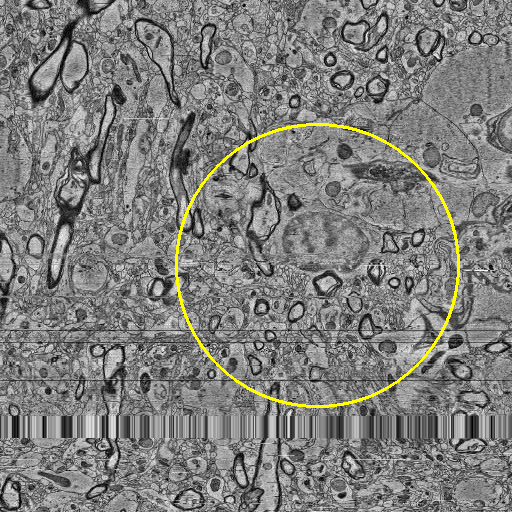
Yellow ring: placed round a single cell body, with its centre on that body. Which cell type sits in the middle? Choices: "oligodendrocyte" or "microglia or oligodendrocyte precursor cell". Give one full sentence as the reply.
It is an oligodendrocyte whose cell body sits at the centre of the yellow ring.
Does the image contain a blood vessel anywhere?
Yes, a blood vessel shows in the picture.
